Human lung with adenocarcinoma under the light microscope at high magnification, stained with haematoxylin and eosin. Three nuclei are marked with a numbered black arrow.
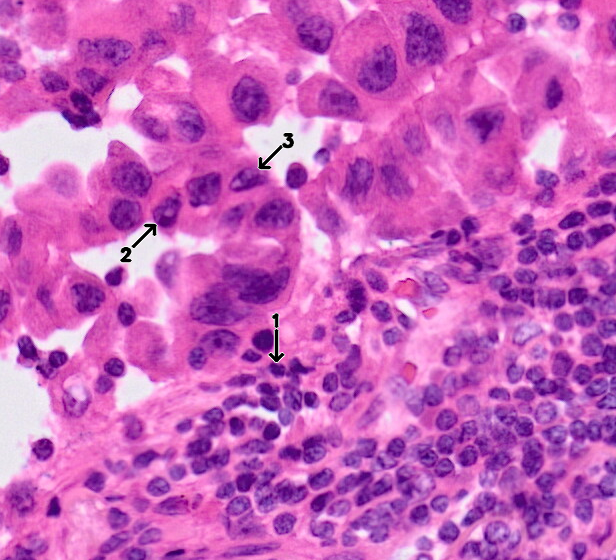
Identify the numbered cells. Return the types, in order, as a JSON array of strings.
["lymphocyte", "carcinoma cell", "carcinoma cell"]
